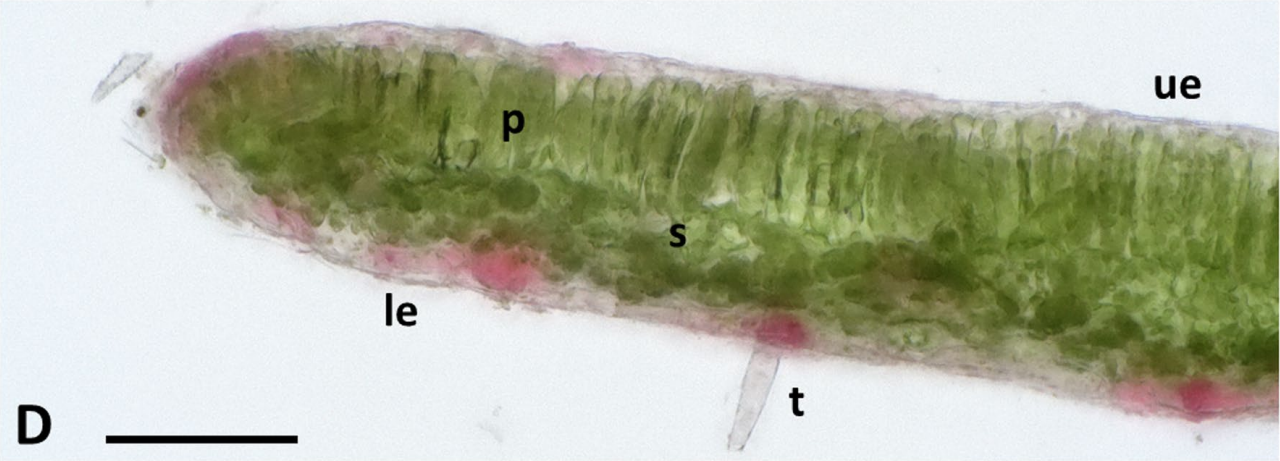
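This cross-section of a leaf blade shows an upper and a lower epidermis enclosing green mesophyll. A single layer of thin, mostly colourless epidermal cells covers each surface. In places the epidermis holds pink-red coloured cells, especially along the lower side and at the rounded margin. Beneath the upper epidermis, elongated green palisade cells stand perpendicular to the surface in a closely packed row. Below them lies spongy parenchyma of rounder, irregular green cells with a looser arrangement. Toward the margin at the left the blade thins and rounds off. Slender, tapered, translucent hair-like trichomes project from the surface, one from the lower side.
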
